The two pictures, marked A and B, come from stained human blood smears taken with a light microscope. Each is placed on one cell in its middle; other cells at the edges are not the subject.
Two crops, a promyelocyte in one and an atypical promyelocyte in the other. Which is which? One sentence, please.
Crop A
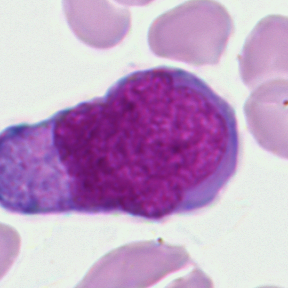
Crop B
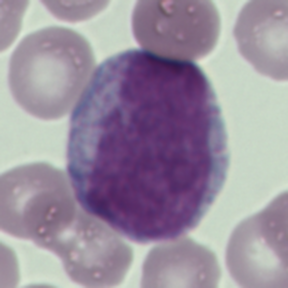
Crop A shows an atypical promyelocyte, whereas crop B shows a promyelocyte.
